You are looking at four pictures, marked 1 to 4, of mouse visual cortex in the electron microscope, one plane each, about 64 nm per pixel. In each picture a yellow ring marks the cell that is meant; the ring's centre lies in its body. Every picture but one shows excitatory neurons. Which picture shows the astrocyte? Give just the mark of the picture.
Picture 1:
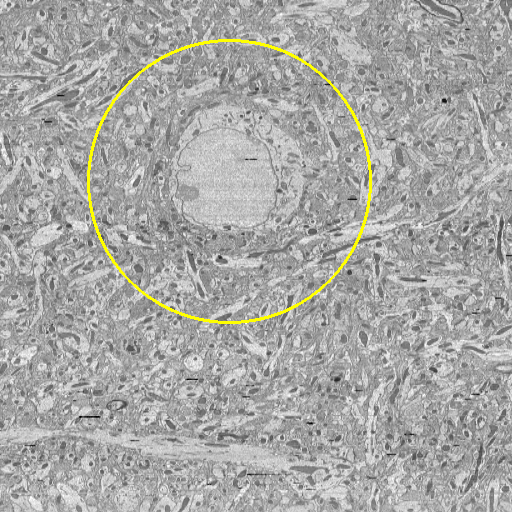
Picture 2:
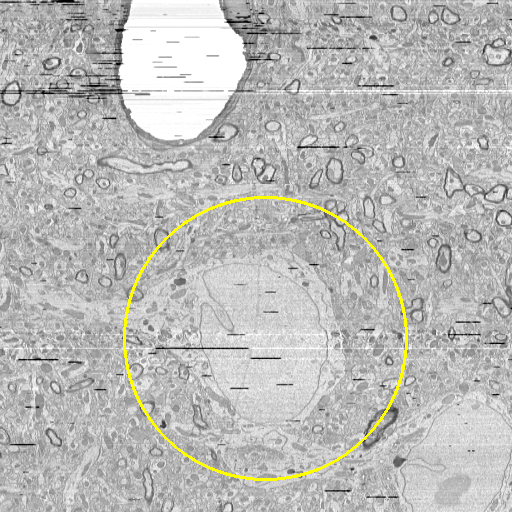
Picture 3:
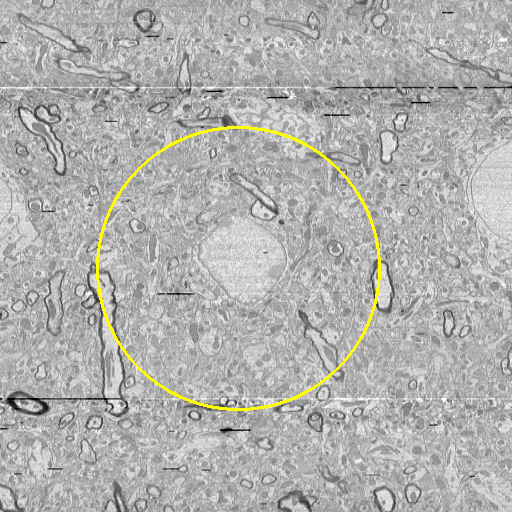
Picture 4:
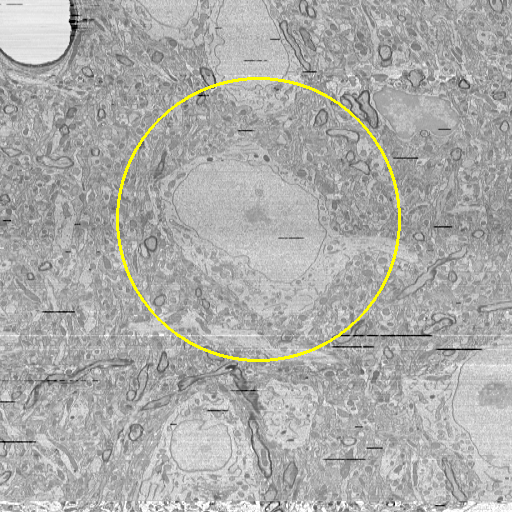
3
